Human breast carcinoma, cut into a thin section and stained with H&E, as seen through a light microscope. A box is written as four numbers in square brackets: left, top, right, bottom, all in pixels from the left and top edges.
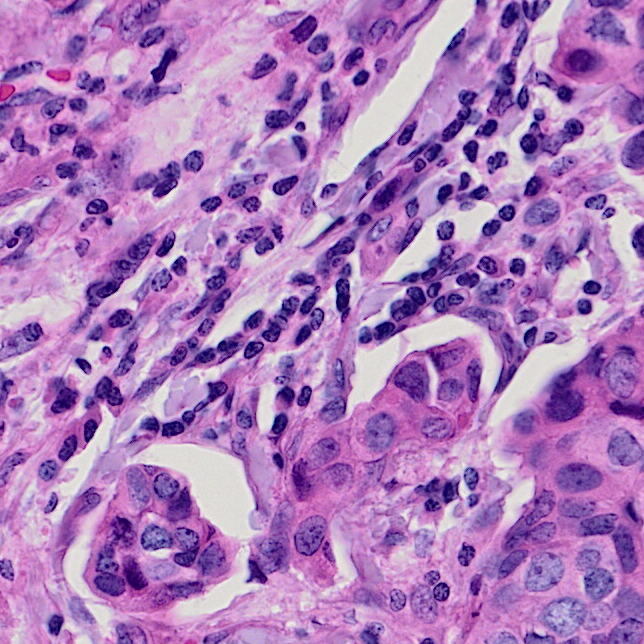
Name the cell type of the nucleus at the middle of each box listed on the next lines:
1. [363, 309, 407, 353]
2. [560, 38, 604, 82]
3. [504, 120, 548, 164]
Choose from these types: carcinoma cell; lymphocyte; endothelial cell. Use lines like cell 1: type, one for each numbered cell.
cell 1: lymphocyte
cell 2: carcinoma cell
cell 3: lymphocyte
